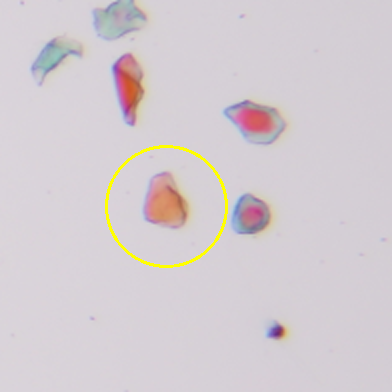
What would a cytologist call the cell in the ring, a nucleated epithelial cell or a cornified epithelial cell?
A cytologist would call it a cornified epithelial cell.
